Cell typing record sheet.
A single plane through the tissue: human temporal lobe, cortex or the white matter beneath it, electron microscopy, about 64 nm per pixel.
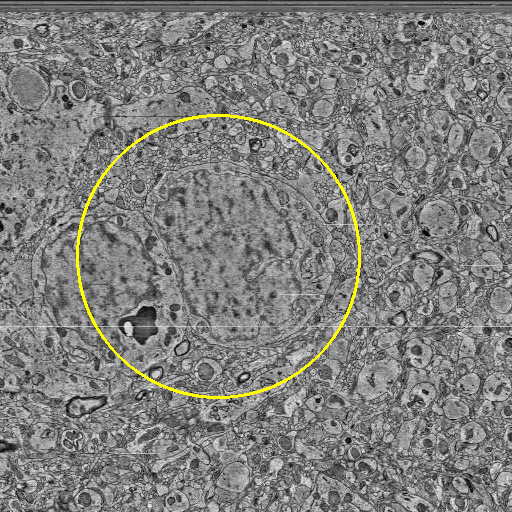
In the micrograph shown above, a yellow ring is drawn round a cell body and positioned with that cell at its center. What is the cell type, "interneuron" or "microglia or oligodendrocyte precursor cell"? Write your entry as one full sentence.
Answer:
The cell body at the center of the ring belongs to an interneuron.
